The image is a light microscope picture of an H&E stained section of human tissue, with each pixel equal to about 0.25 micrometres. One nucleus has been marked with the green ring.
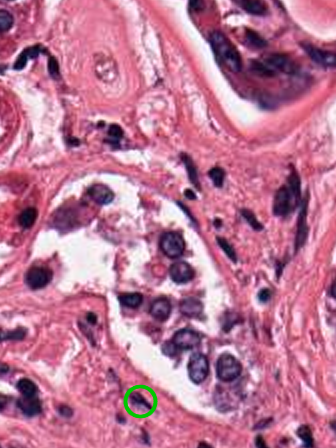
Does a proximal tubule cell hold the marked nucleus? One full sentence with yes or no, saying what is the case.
No, it is not a proximal tubule cell but a supporting cell to which the marked nucleus is assigned.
